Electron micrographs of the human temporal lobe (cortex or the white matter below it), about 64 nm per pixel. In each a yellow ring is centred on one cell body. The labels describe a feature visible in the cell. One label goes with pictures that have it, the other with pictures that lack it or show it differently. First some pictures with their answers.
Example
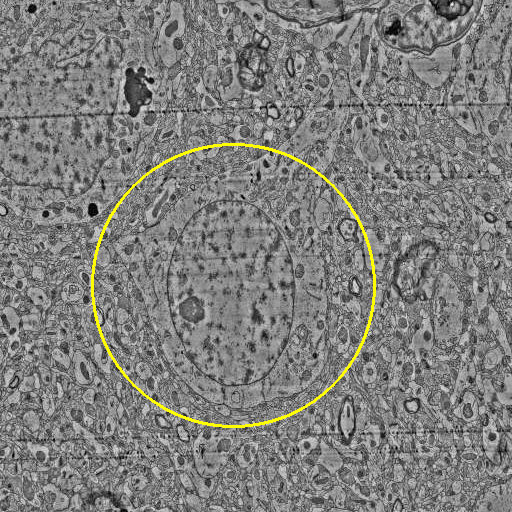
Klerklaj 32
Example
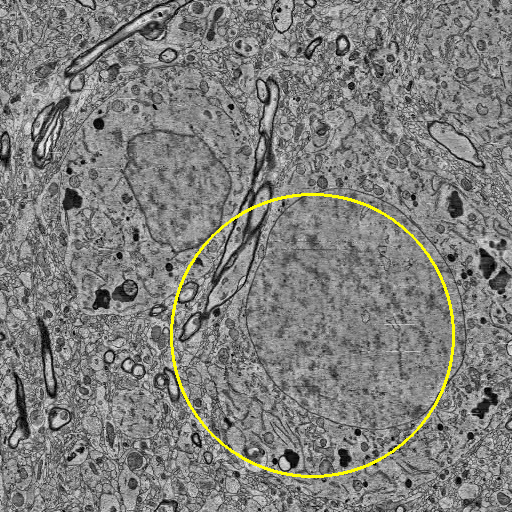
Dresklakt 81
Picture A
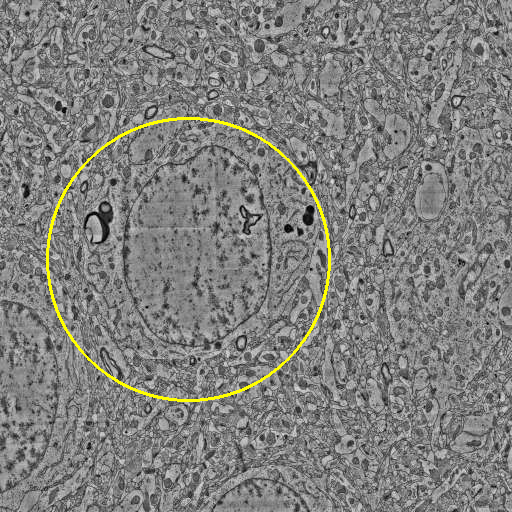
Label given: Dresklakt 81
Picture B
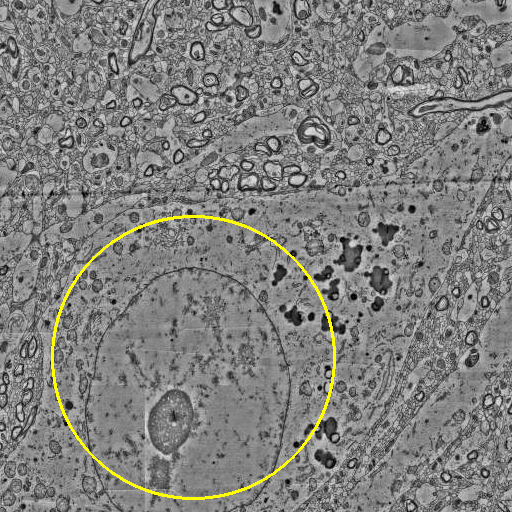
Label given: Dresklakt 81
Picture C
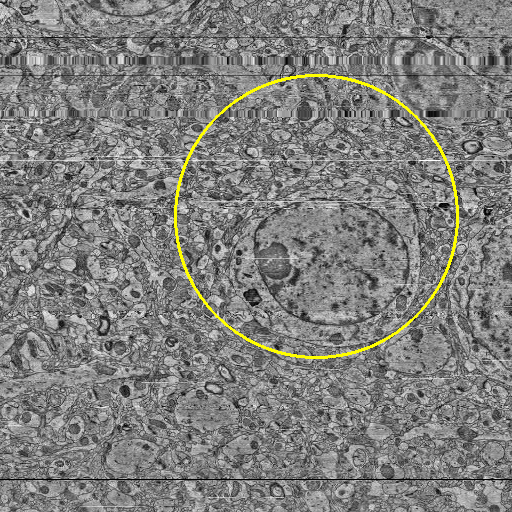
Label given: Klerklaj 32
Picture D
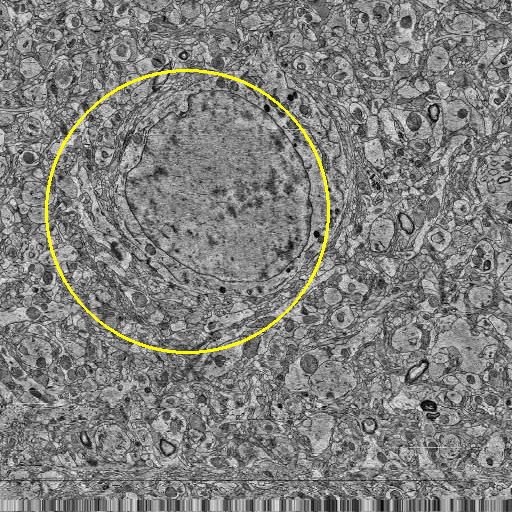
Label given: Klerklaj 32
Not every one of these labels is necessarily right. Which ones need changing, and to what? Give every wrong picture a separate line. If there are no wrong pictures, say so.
B: change Dresklakt 81 to Klerklaj 32
D: change Klerklaj 32 to Dresklakt 81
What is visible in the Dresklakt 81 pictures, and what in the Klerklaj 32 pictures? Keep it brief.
Seen in Dresklakt 81: no nucleolus seen; seen in Klerklaj 32: nucleolus seen.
